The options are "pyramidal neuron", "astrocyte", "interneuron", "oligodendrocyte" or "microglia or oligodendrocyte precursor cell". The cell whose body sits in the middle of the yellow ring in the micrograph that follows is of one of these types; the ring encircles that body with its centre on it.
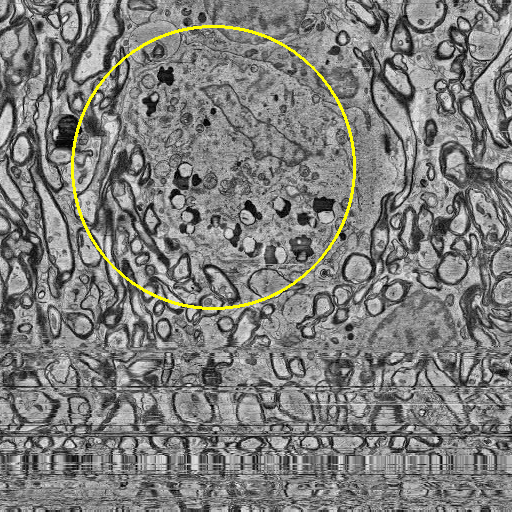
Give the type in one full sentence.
Going by the micrograph, the cell centred in the yellow ring is a pyramidal neuron.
